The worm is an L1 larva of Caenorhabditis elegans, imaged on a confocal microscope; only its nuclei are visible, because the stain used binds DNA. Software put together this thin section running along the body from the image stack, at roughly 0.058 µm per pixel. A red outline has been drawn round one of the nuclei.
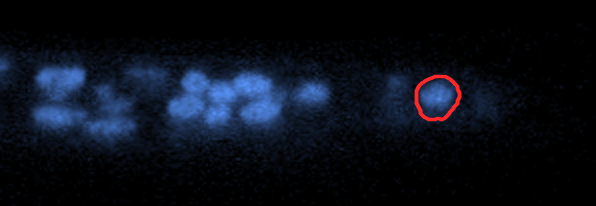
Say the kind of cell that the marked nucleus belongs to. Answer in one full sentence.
This is the nucleus of a hypodermal cell (hyp).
